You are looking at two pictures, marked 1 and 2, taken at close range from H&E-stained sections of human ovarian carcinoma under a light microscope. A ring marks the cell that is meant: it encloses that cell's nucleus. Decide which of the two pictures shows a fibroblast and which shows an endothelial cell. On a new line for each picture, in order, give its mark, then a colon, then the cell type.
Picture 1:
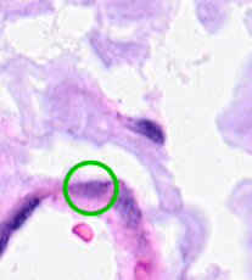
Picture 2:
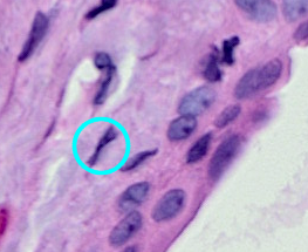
1: endothelial cell
2: fibroblast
